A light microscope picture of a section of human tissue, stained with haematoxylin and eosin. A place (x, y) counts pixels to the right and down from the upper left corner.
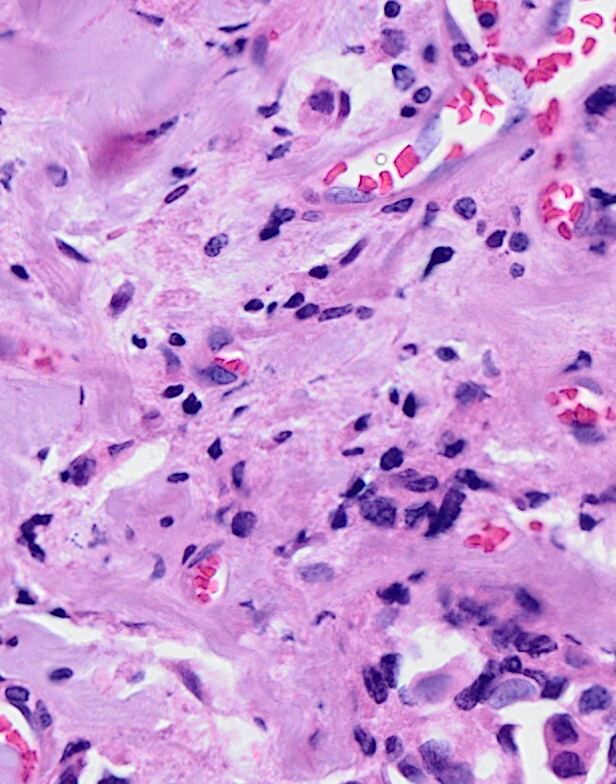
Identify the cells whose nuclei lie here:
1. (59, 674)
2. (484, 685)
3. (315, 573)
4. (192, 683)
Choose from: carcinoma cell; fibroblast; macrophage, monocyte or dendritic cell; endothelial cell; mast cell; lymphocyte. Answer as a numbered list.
1. lymphocyte
2. carcinoma cell
3. fibroblast
4. fibroblast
